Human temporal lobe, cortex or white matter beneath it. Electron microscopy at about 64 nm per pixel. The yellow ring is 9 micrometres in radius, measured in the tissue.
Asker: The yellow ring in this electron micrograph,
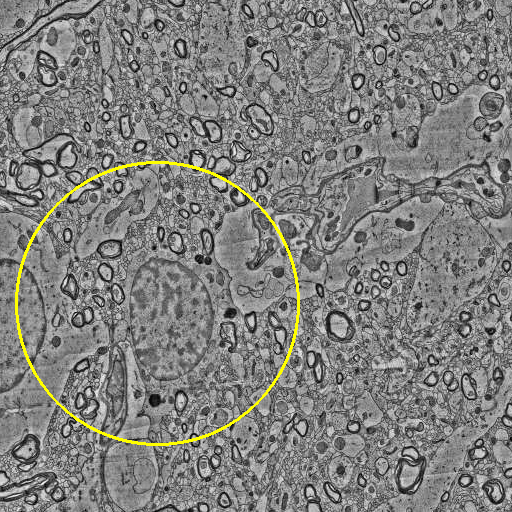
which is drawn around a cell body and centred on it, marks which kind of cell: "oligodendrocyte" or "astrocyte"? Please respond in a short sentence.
The marked cell is an oligodendrocyte.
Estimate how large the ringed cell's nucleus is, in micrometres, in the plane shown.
Roughly 8 by 5 micrometres in this plane, for the nucleus of the ringed cell.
